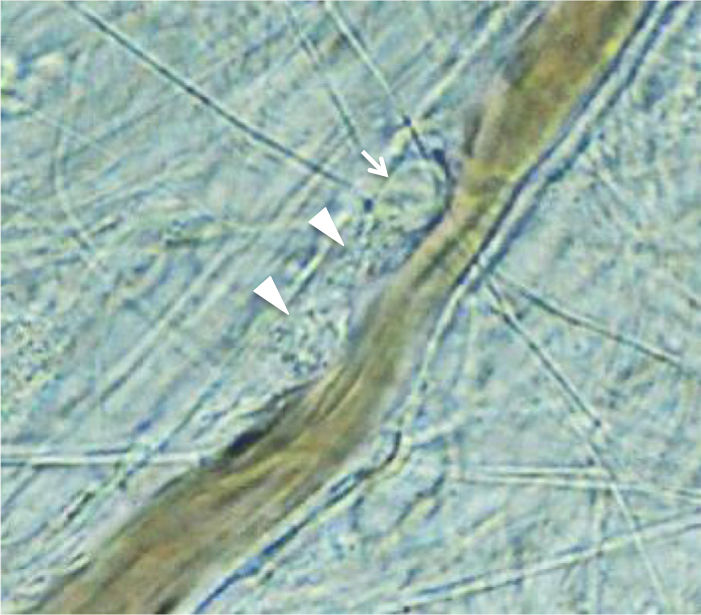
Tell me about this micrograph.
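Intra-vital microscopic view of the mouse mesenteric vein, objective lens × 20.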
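A broad brownish-yellow vessel runs diagonally across a field crossed by many thin pale fibres. The vessel itself shows streaks of flowing content, and the surrounding tissue is otherwise faint and unstained, with only the outlines of fibres and vessel edges visible by their refraction.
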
